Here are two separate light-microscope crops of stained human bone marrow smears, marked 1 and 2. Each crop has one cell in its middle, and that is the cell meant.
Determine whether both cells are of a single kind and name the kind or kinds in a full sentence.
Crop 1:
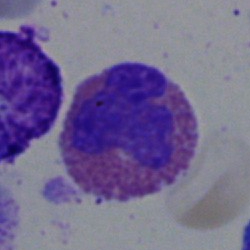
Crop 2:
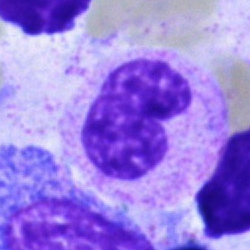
No, the labels go like this: crop 1 is an eosinophil and crop 2 is a band neutrophil.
